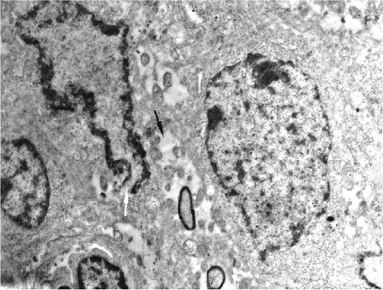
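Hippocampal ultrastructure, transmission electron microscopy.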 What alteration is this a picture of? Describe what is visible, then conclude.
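The nucleus at the upper left has a jagged, deeply folded outline. Dark chromatin lines the margin of that folded nucleus. The answer: the nuclei became irregular.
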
